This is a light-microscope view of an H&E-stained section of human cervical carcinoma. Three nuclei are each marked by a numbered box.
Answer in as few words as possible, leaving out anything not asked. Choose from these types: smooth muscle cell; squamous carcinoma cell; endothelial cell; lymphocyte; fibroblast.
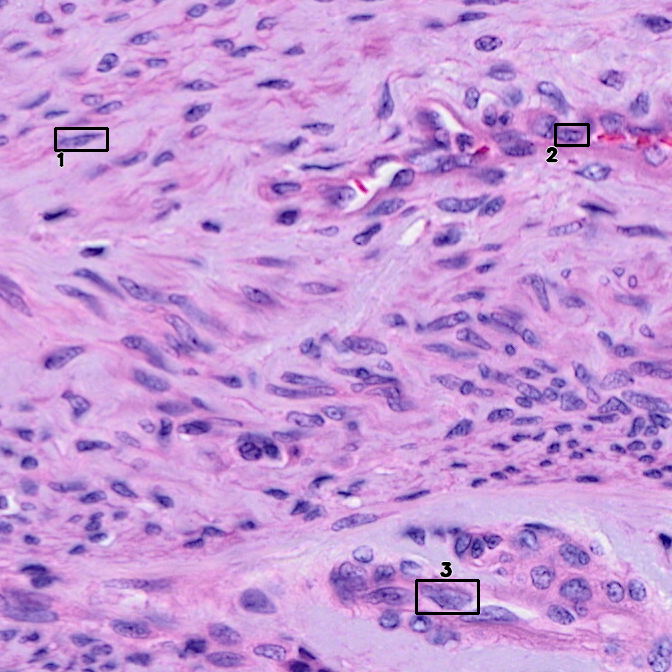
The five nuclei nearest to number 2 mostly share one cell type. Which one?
endothelial cell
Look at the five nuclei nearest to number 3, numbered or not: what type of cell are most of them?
smooth muscle cell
